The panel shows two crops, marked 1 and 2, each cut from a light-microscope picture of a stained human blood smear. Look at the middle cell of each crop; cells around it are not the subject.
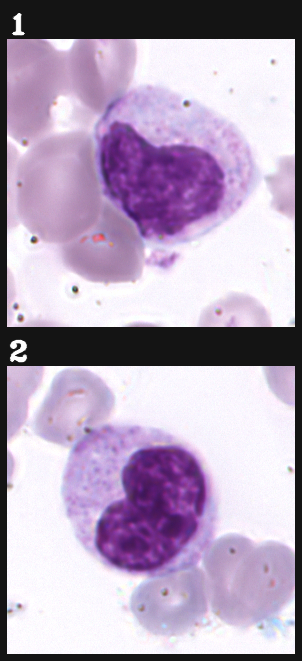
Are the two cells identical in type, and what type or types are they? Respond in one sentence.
Yes, the cells of interest in both crops are metamyelocytes.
